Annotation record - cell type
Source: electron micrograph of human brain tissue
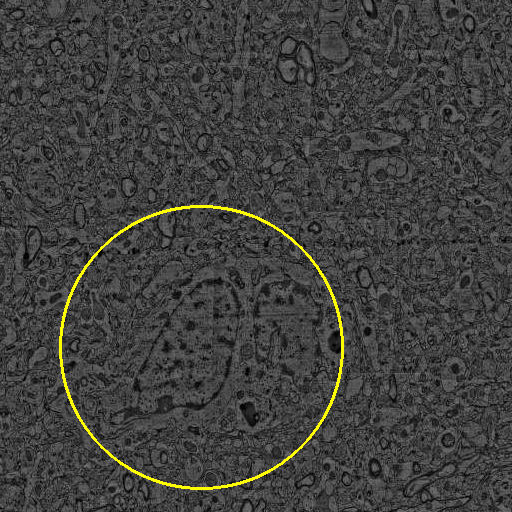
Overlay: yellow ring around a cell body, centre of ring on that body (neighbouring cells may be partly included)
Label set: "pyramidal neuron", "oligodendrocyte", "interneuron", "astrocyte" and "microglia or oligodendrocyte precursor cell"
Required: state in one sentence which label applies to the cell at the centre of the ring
This cell should be labelled as a microglial cell or oligodendrocyte precursor cell.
